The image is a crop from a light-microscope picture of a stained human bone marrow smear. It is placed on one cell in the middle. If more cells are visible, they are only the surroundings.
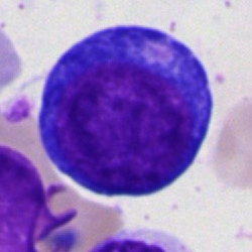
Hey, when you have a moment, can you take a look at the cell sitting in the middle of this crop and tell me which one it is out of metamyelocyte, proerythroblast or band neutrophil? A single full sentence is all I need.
The central element of this crop is a cell, namely a proerythroblast.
